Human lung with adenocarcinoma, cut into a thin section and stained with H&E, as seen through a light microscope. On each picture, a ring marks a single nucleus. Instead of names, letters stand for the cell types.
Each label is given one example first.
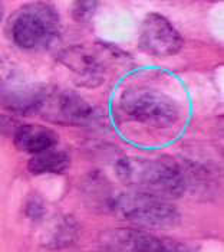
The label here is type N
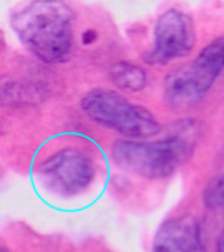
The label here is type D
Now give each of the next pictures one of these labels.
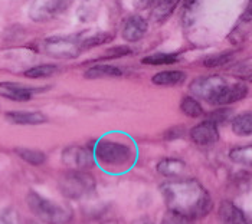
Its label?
type N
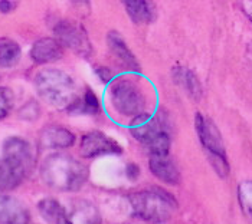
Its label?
type N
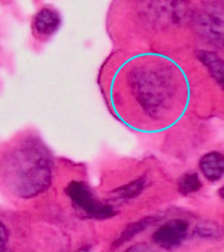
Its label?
type D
